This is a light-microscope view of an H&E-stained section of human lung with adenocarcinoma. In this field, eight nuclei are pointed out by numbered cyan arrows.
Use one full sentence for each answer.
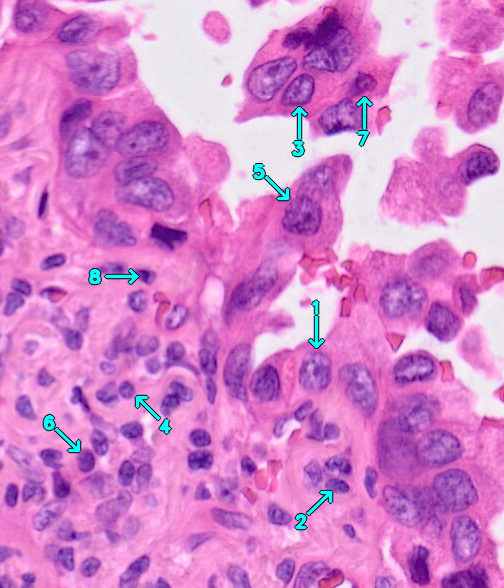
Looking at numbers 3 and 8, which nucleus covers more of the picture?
Nucleus 3 covers more area, about 4 times as much as nucleus 8.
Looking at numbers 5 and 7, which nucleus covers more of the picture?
The larger nucleus is 5, at roughly 2.5 times the area of 7.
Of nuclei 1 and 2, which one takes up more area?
Nucleus 1 is the larger one, covering about 4 times the area of nucleus 2.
